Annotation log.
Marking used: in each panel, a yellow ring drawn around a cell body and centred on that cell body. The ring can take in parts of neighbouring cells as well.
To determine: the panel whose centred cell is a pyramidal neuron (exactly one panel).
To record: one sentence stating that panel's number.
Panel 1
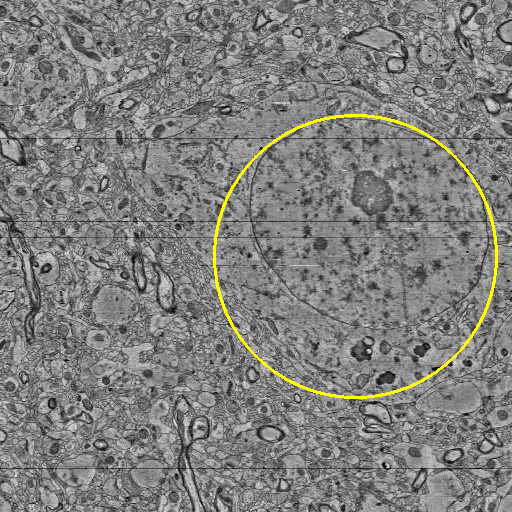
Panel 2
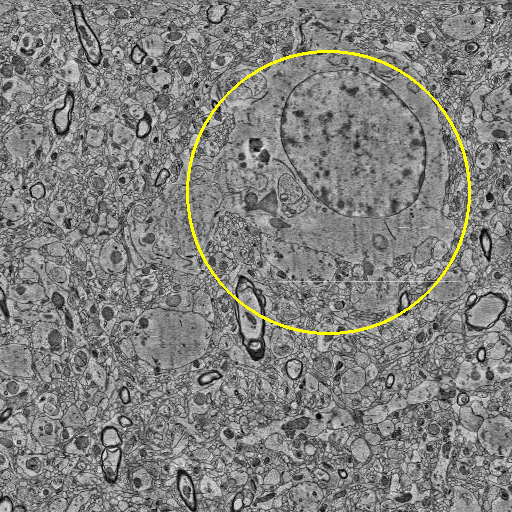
Panel 1 shows it at the centre of its ring.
